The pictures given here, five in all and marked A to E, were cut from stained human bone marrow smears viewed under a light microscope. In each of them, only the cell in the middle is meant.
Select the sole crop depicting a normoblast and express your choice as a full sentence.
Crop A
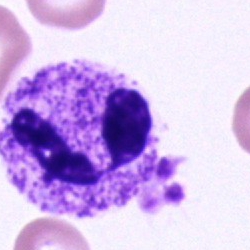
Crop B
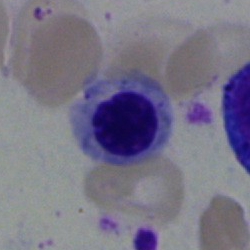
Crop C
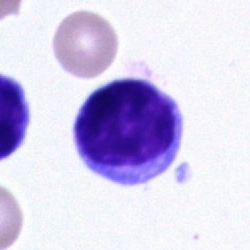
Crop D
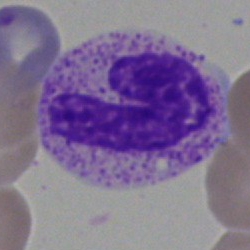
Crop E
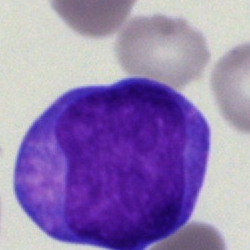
Crop B is where a normoblast is to be found.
